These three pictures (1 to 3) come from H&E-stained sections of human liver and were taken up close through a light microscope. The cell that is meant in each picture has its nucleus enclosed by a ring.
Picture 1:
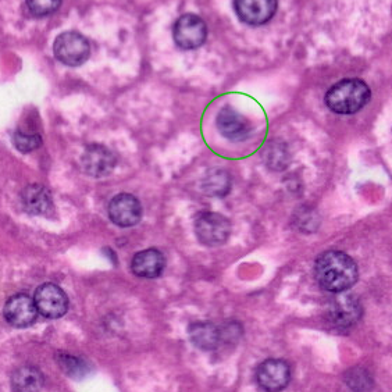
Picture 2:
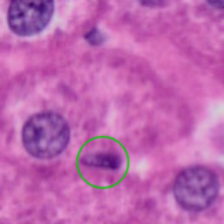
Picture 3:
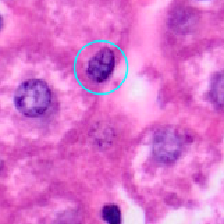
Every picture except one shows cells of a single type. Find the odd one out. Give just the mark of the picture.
3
